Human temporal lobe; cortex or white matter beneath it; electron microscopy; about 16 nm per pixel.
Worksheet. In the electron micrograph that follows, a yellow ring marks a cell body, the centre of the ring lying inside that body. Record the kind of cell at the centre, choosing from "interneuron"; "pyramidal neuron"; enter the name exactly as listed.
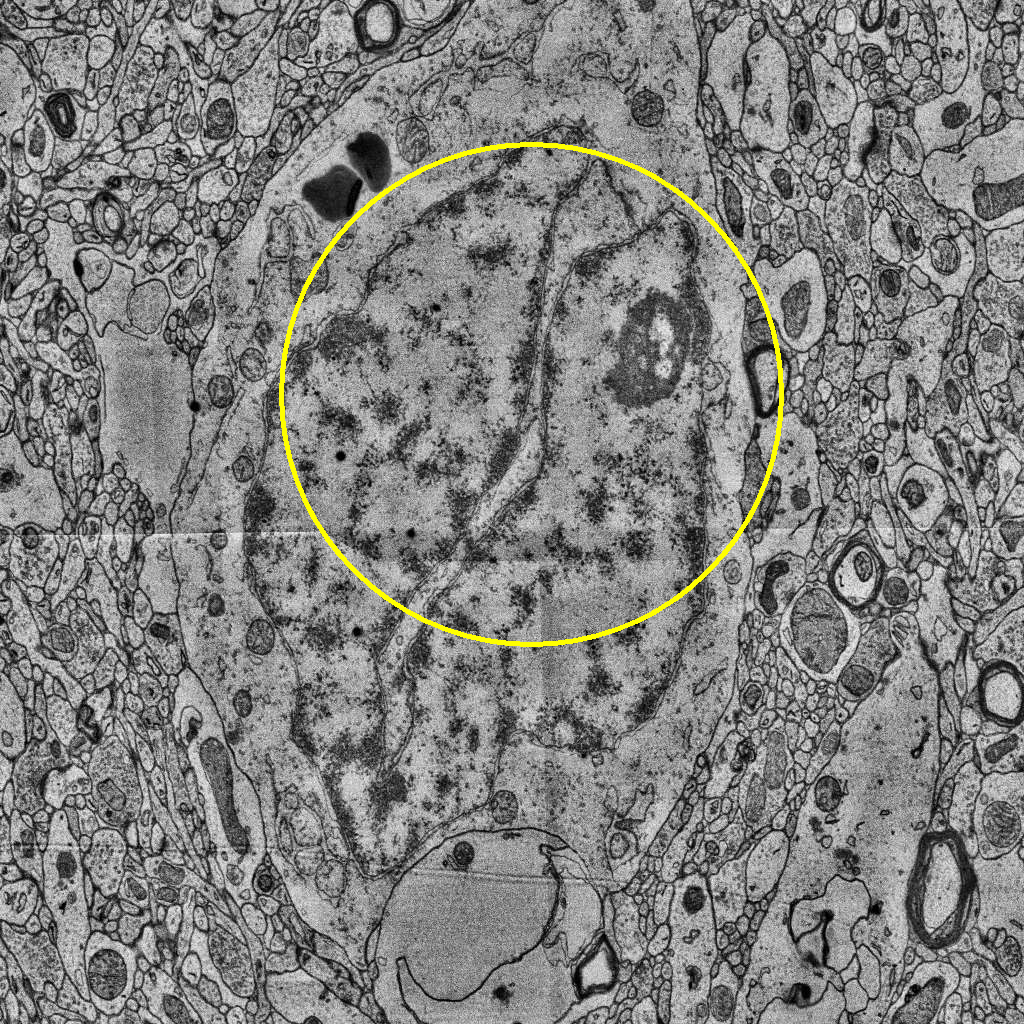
interneuron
